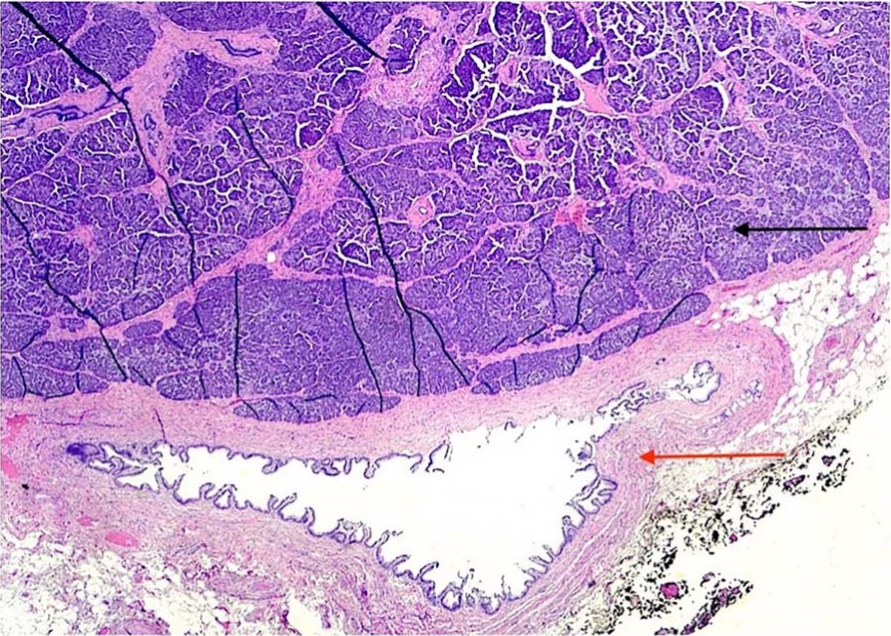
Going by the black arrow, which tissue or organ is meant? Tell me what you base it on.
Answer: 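The black arrow points into densely packed purple glandular tissue divided into lobules by pink fibrous septa. The glandular tissue consists of acini with small ducts running between the lobules. On this evidence: pancreatic parenchyma.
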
